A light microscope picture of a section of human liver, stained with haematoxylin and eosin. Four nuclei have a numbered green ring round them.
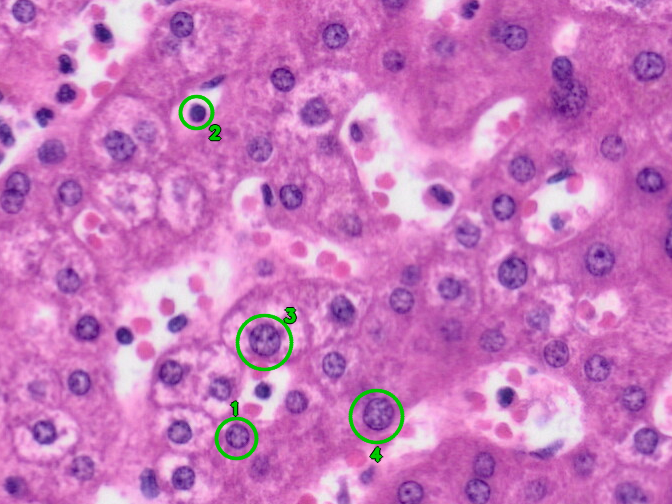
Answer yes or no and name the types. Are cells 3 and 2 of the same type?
No, cell 3 is a hepatocyte, whereas a lymphocyte is what cell 2 is.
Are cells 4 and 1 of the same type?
Yes, both cell 4 and cell 1 are hepatocytes.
